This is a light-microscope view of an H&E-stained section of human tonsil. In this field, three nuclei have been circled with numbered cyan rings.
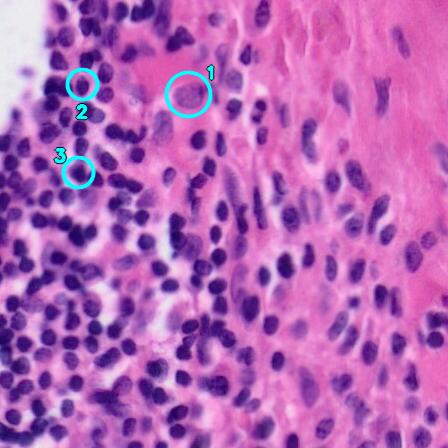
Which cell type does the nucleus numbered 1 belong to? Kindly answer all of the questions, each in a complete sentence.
Belonging to an endothelial cell is the nucleus that carries the number 1.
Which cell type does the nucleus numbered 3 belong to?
Recognised here as a small lymphocyte is the cell numbered 3.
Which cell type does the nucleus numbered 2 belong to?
The cell carrying label 2 is identified as a small lymphocyte.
